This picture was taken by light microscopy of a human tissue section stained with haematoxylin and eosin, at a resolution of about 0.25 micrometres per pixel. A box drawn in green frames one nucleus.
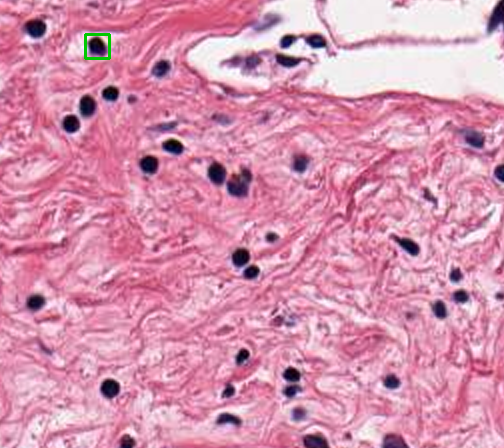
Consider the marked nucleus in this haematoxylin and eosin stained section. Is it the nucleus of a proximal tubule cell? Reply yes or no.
no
